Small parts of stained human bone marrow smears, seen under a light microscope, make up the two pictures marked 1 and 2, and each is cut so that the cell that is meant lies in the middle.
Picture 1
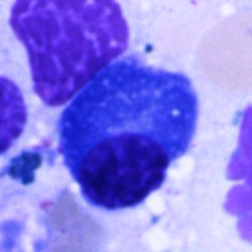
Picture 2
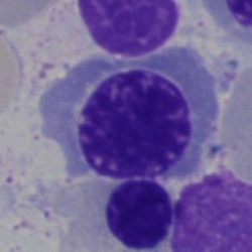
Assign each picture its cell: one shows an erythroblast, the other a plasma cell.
1: plasma cell
2: erythroblast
